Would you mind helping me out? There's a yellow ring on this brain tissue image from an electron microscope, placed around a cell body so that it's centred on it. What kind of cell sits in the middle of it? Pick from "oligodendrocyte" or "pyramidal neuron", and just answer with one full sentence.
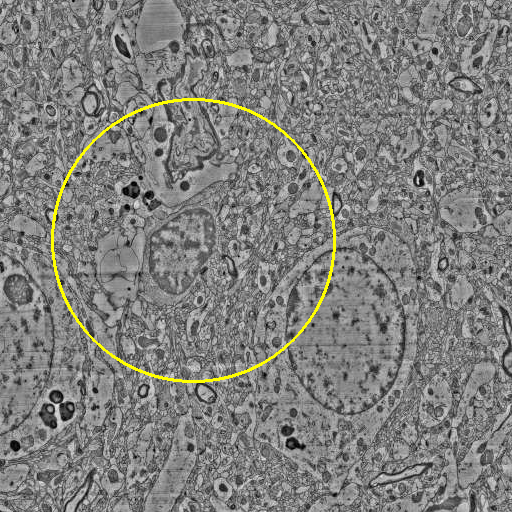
What sits in the middle of that yellow ring is an oligodendrocyte, from your choices.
